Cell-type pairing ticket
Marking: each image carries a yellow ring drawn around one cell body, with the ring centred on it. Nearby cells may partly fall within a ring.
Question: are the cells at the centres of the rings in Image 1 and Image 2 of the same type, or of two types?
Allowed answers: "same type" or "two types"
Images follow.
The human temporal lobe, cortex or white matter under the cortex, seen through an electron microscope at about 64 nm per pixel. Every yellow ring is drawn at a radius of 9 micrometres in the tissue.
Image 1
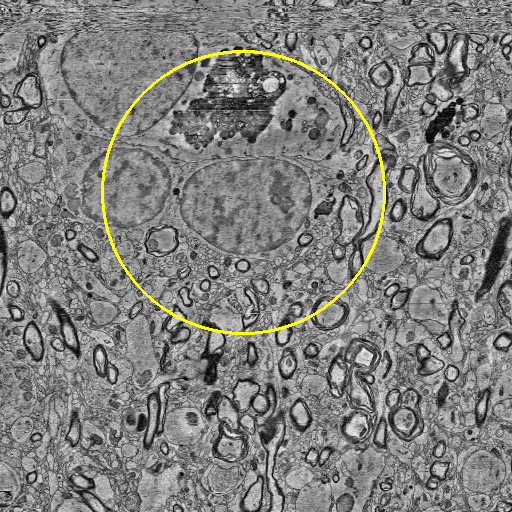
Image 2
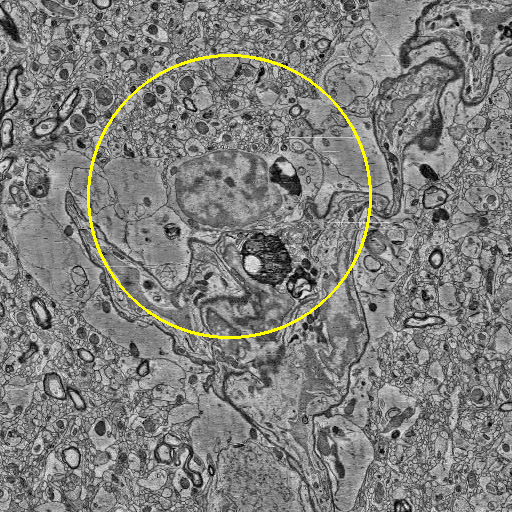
same type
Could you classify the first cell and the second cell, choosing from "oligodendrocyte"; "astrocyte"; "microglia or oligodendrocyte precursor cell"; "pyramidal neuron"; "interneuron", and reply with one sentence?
In each picture the ringed cell is an oligodendrocyte.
